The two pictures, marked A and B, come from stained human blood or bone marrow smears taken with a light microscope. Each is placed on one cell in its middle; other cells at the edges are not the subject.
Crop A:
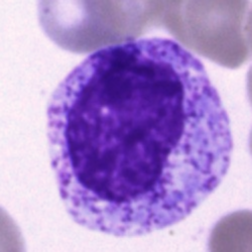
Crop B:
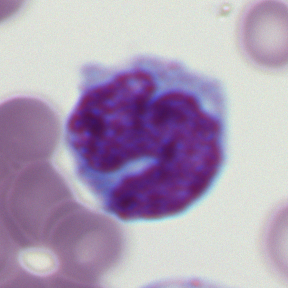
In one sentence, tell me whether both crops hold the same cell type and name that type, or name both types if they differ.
No, a monocyte is the cell in crop B, and crop A contains a myelocyte.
